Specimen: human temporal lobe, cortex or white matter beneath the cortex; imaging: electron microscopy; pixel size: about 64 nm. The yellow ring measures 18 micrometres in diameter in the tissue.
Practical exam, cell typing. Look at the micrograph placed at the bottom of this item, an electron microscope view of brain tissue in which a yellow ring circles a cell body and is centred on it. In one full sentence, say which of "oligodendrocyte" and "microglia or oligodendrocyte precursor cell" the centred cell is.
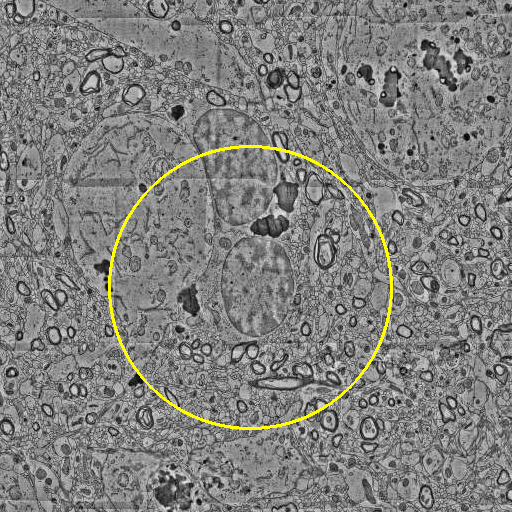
Given the options, an oligodendrocyte fits the cell whose body the yellow ring is centred on.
